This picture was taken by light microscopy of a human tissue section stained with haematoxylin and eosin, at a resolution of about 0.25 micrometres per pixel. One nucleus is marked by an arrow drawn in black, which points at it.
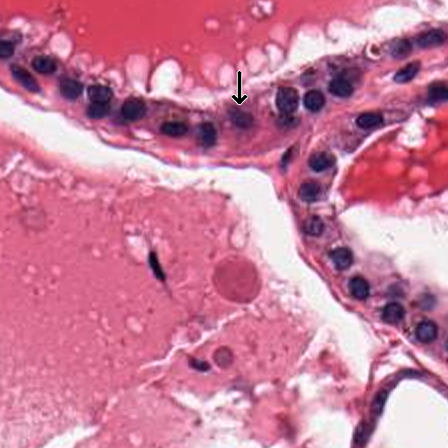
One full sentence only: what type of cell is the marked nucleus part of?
What the marked nucleus belongs to is a thyroid follicular cell.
